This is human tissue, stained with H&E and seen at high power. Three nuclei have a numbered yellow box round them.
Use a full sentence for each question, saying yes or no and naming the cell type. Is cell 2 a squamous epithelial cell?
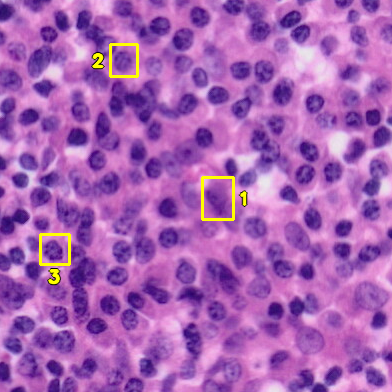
No, cell 2 is not a squamous epithelial cell; a plasma cell is the correct identification.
